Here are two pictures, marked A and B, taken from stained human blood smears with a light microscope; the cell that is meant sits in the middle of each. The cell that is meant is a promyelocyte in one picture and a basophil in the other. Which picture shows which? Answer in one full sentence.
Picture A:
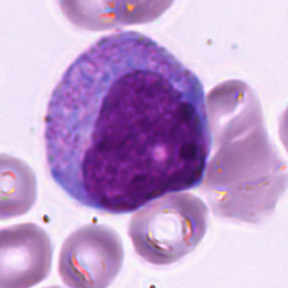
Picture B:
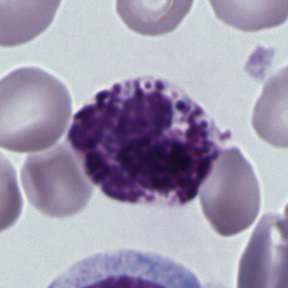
Picture A shows a promyelocyte and picture B shows a basophil.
